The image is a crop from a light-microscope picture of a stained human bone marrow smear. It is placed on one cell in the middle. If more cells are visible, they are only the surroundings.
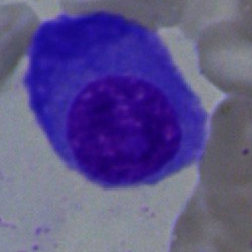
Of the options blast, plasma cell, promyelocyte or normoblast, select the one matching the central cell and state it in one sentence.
The single cell at the center of the crop is a plasma cell.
